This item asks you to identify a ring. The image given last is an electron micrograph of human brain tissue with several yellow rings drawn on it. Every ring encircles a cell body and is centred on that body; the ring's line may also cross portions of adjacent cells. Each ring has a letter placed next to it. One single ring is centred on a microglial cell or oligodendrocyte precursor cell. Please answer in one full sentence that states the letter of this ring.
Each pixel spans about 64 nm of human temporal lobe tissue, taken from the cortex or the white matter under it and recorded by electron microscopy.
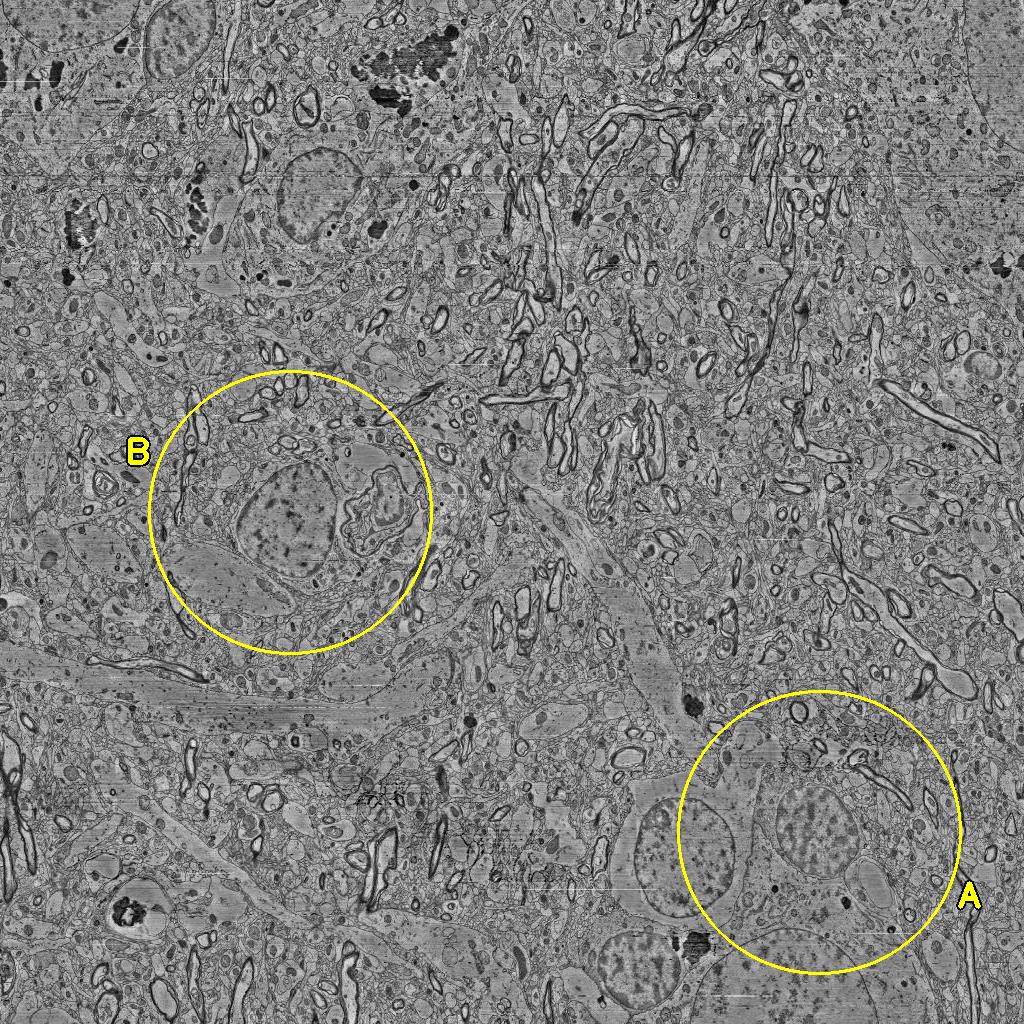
My answer is letter B, the ring centred on the cell asked for.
